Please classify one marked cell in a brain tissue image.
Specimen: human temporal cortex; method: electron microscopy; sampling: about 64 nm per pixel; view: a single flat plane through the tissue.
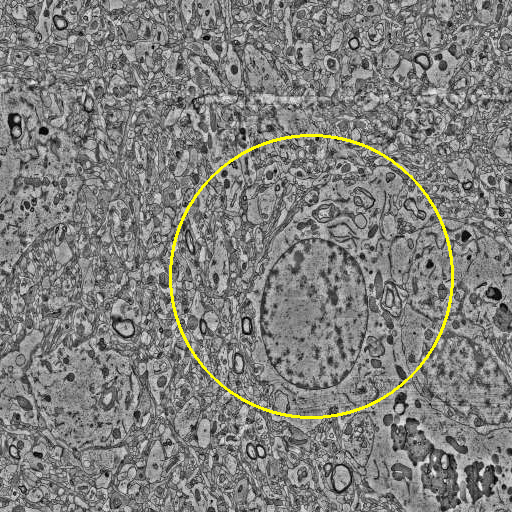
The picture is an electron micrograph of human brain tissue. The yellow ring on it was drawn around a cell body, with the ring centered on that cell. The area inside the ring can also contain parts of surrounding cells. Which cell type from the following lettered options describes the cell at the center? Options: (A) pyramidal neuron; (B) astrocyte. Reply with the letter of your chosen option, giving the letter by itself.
B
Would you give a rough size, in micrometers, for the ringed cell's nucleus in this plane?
In this plane, roughly 10 by 7 micrometres.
